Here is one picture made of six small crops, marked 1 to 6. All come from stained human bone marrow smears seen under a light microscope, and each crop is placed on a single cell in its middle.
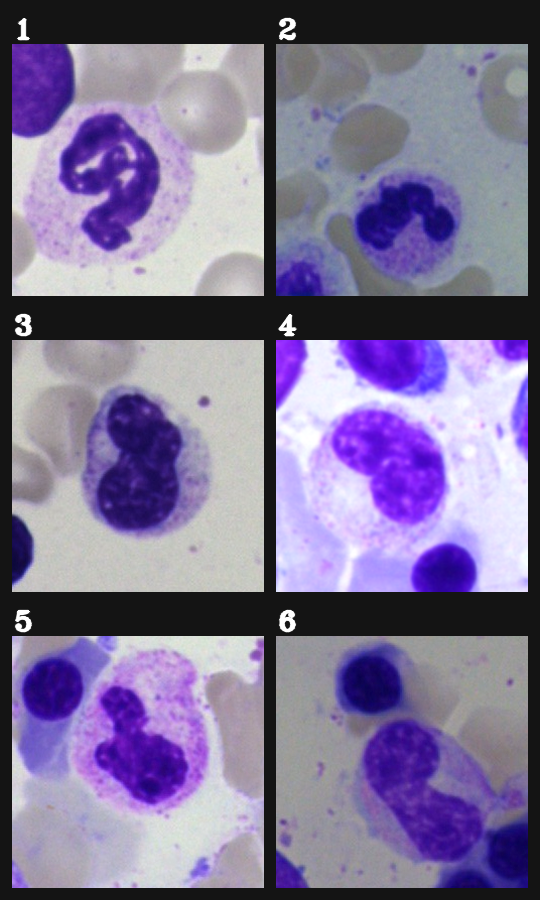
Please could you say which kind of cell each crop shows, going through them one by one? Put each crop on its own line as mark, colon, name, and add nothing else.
1: segmented neutrophil
2: segmented neutrophil
3: band neutrophil
4: band neutrophil
5: segmented neutrophil
6: band neutrophil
